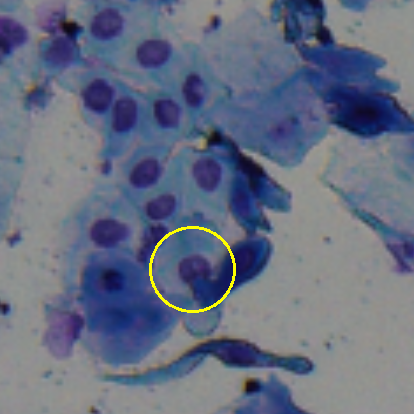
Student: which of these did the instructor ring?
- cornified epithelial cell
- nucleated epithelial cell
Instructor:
The cell I ringed is a nucleated epithelial cell.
